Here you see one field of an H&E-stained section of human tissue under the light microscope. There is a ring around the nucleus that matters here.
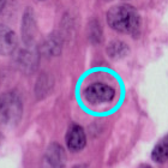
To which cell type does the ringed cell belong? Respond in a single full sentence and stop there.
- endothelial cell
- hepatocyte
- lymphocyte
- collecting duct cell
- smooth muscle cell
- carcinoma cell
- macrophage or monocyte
The classification of the ringed cell is as a macrophage or monocyte.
